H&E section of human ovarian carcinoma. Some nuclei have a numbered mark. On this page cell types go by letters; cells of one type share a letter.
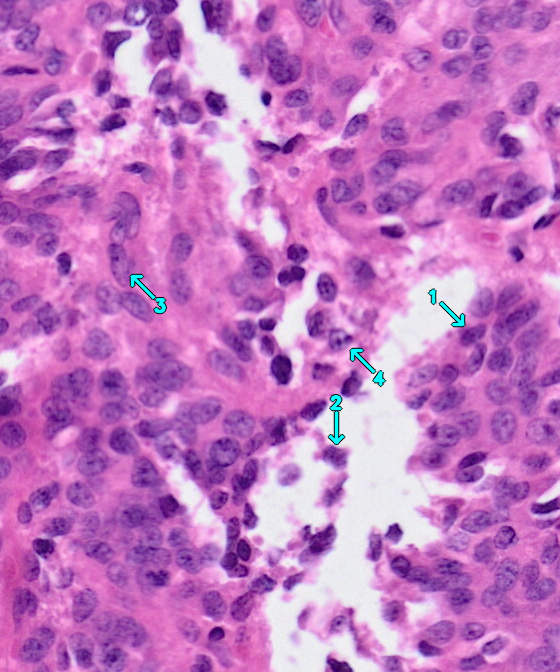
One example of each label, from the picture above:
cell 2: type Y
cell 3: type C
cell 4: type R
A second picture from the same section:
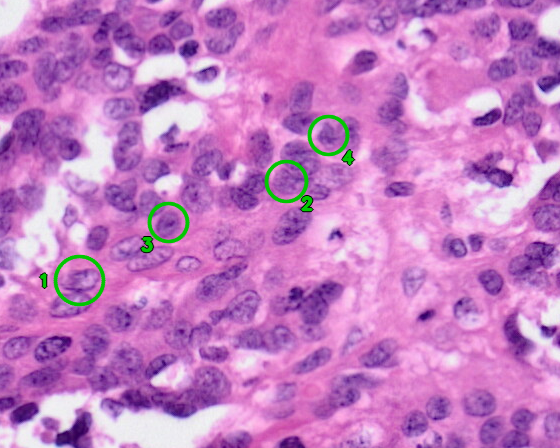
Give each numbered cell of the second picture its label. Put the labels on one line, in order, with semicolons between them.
type C; type Y; type Y; type Y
